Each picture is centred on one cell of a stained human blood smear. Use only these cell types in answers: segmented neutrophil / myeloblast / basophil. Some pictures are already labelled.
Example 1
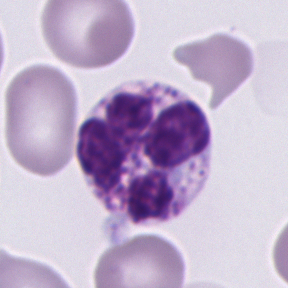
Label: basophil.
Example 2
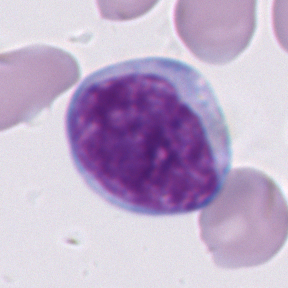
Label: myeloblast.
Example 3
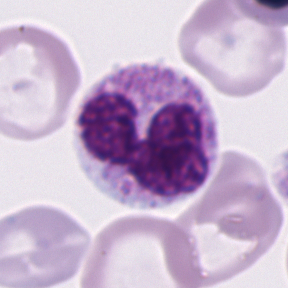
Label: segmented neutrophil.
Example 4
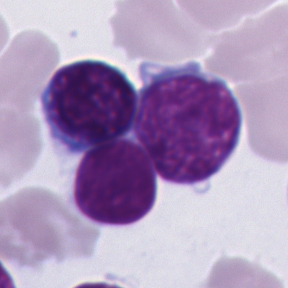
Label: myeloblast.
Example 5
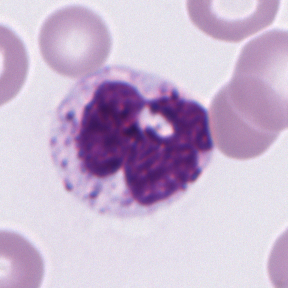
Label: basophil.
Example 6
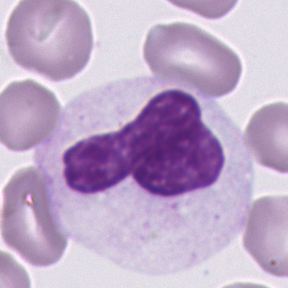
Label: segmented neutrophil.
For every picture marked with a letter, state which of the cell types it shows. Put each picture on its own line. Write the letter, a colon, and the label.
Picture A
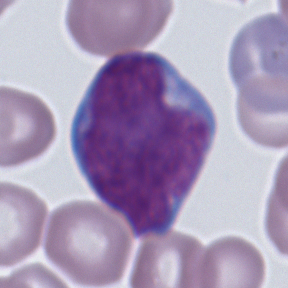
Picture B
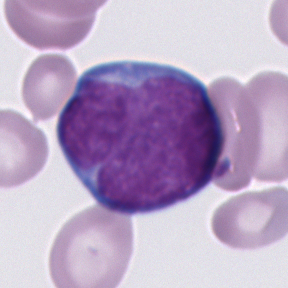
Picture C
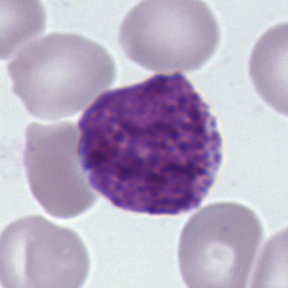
A: myeloblast.
B: myeloblast.
C: basophil.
